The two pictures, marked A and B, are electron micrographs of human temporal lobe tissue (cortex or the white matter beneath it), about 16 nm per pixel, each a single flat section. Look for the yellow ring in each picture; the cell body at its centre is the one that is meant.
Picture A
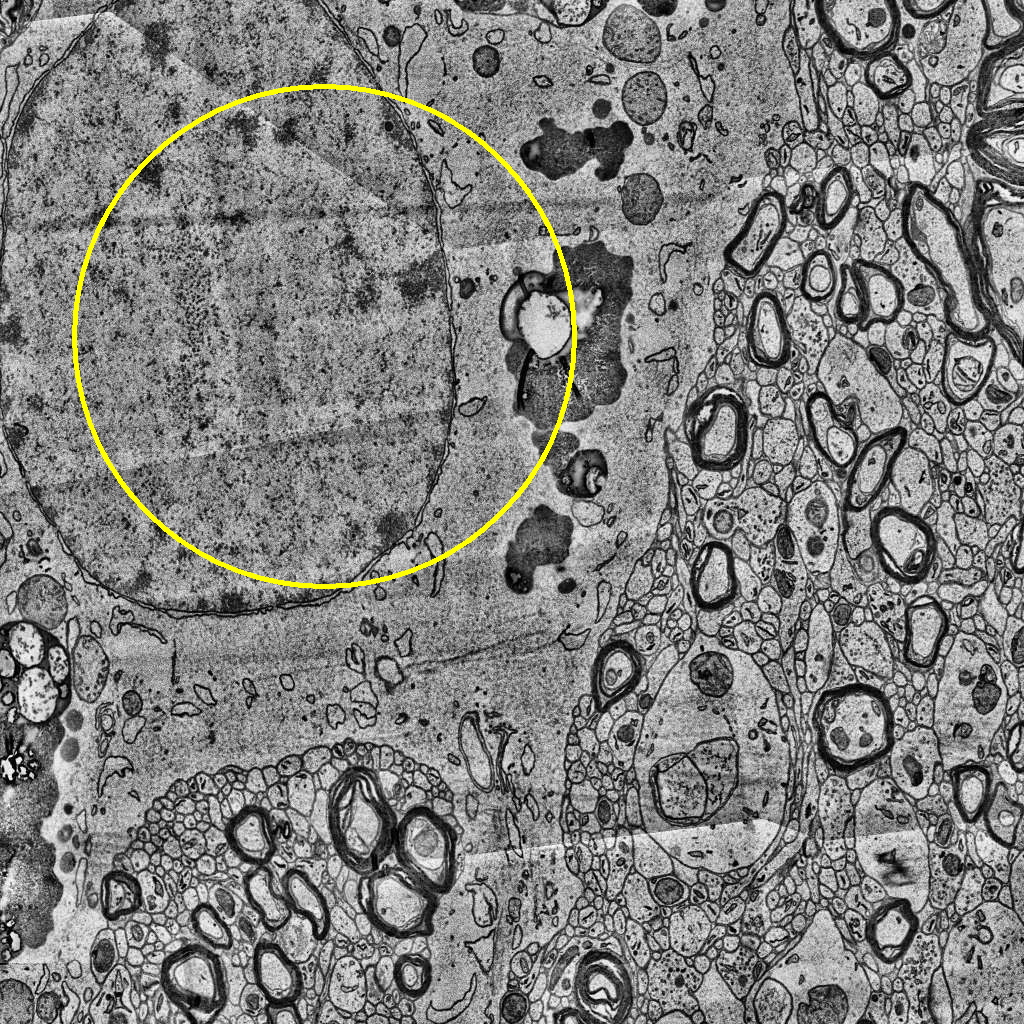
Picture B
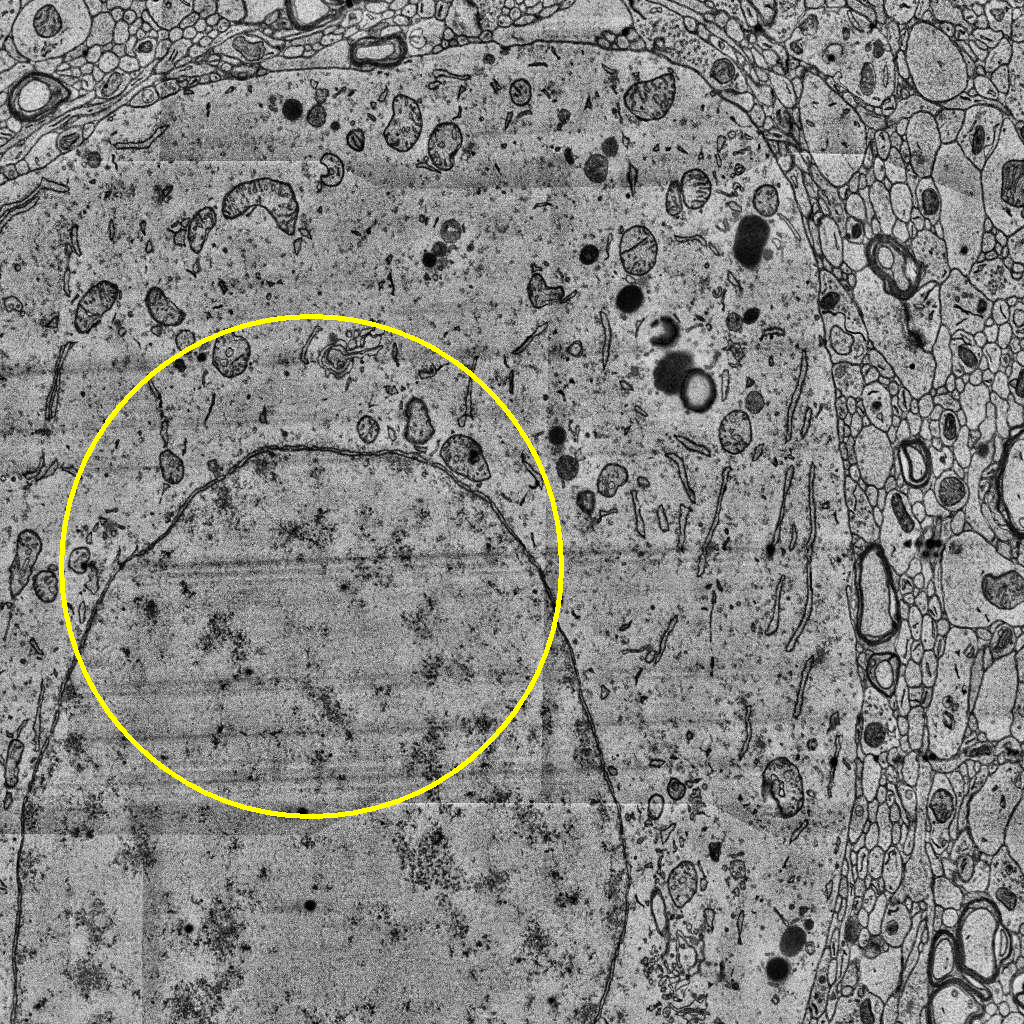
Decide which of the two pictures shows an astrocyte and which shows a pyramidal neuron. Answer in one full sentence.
Picture A shows an astrocyte and picture B shows a pyramidal neuron.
